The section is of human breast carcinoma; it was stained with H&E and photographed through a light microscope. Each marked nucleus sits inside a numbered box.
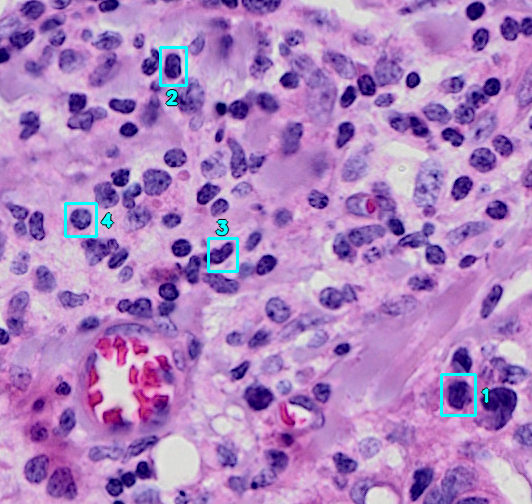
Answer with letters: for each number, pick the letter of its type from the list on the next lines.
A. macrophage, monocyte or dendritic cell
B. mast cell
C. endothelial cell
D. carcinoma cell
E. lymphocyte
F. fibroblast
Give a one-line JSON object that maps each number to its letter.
{"1": "D", "2": "E", "3": "E", "4": "E"}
